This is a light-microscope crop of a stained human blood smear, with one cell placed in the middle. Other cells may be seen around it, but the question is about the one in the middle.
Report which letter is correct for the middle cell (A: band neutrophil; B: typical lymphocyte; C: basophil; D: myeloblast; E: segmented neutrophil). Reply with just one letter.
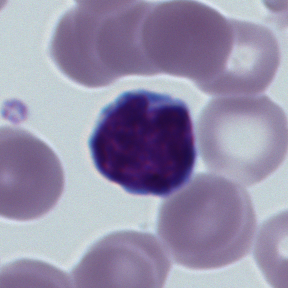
B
